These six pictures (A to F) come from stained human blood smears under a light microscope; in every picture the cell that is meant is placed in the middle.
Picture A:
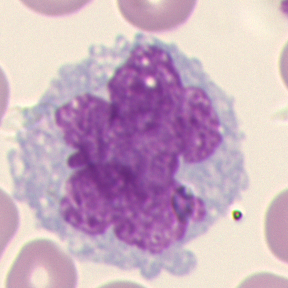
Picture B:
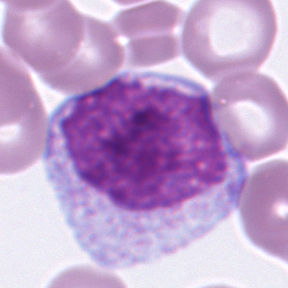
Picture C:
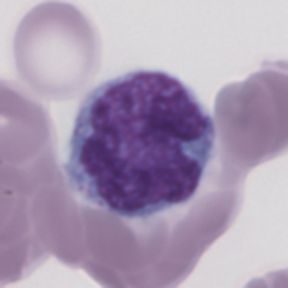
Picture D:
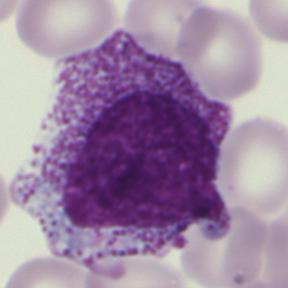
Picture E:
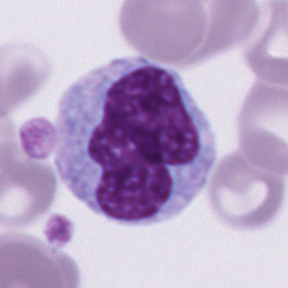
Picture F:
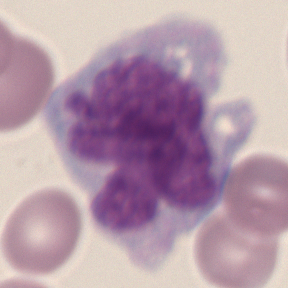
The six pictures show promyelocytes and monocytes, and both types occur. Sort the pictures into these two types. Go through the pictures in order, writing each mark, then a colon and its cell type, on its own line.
A: monocyte
B: promyelocyte
C: monocyte
D: promyelocyte
E: monocyte
F: monocyte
